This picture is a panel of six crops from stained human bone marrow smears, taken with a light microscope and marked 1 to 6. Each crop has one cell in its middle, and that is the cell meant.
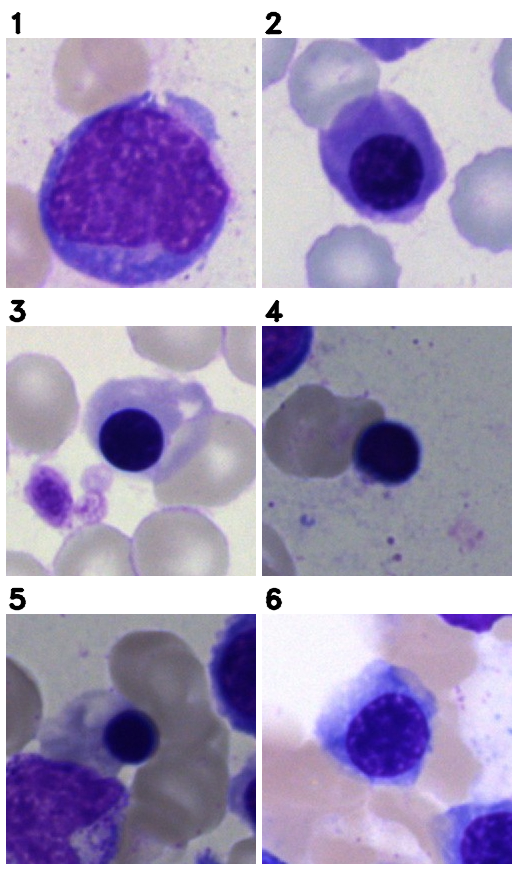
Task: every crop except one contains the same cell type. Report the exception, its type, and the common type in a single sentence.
Crop 1, showing a blast, is the exception; the others all show erythroblasts.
